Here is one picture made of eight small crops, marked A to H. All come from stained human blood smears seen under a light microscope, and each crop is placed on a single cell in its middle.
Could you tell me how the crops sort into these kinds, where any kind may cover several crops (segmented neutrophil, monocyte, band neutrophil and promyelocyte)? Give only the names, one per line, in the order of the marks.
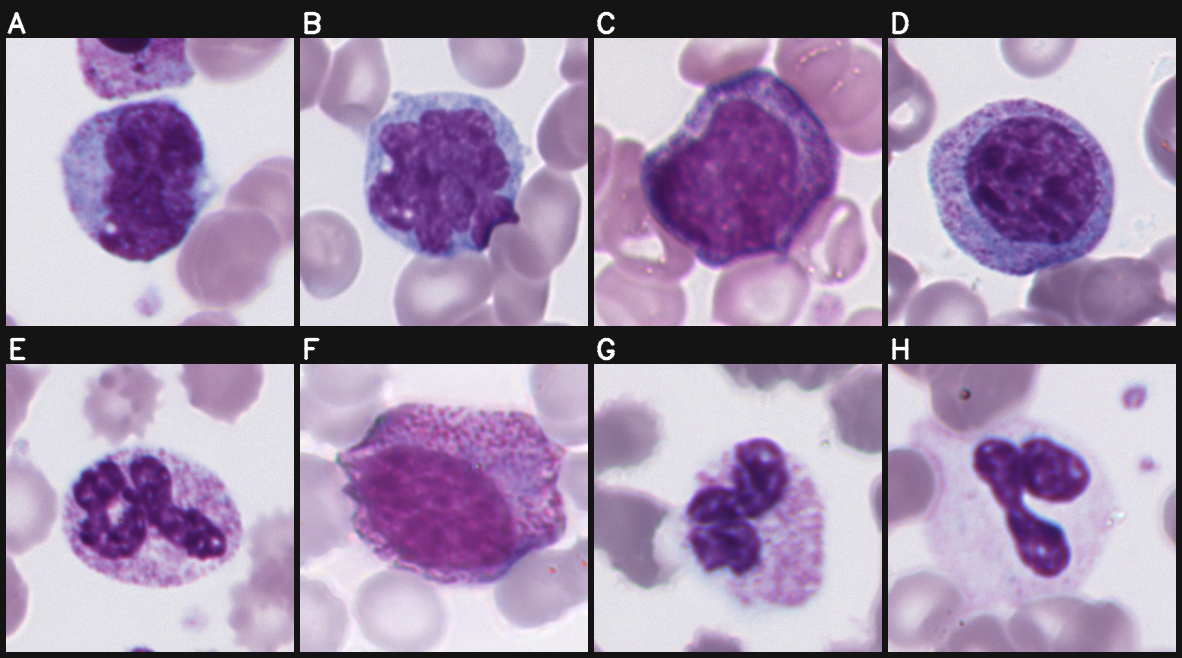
monocyte
monocyte
promyelocyte
promyelocyte
segmented neutrophil
promyelocyte
segmented neutrophil
segmented neutrophil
